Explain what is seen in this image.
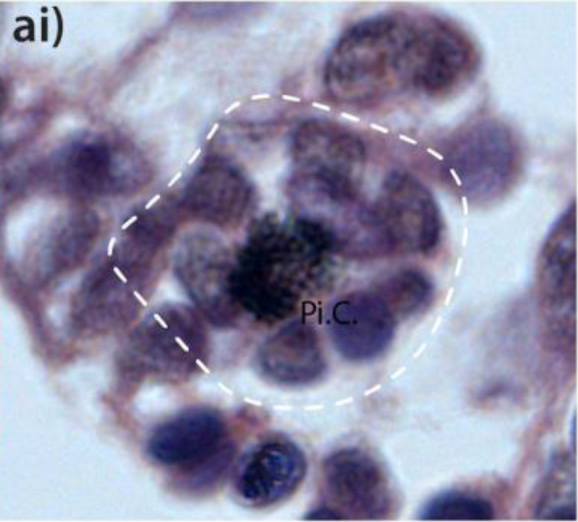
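In the centre lies a dense black granular mass of pigment. Around it are several cells with large oval nuclei stained purple, their chromatin finely granular. The cells are packed closely and together form a rounded cluster enclosed by the dashed outline. Outside the cluster lie further purple-stained nuclei of neighbouring cells.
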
